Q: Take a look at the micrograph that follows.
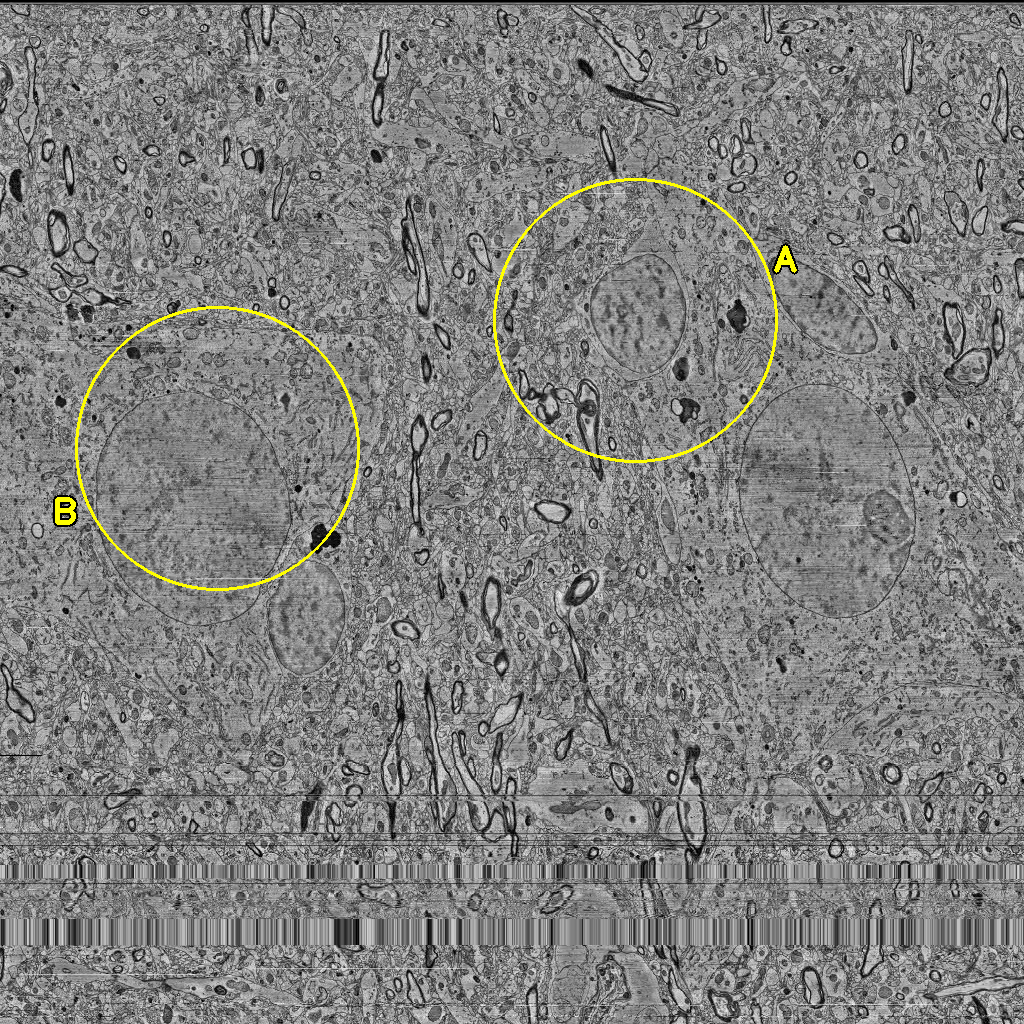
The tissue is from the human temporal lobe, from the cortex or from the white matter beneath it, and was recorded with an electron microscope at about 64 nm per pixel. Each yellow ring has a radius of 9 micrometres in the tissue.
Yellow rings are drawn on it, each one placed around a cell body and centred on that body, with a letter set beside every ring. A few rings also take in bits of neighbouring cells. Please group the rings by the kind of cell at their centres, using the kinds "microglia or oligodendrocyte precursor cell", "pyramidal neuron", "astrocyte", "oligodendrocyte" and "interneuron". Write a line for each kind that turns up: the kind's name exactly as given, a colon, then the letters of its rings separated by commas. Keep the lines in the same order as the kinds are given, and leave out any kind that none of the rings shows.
microglia or oligodendrocyte precursor cell: A
pyramidal neuron: B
